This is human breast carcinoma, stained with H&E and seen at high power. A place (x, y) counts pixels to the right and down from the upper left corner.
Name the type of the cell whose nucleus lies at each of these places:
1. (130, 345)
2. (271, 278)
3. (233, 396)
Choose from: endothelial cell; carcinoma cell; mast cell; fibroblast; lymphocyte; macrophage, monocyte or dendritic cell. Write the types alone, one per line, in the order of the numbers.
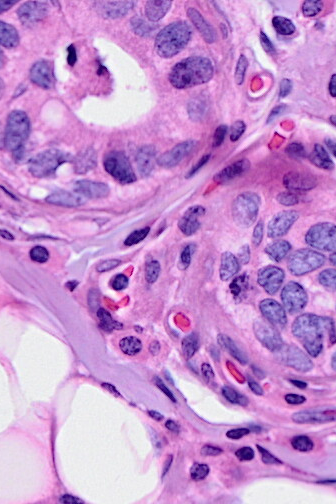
mast cell
carcinoma cell
endothelial cell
